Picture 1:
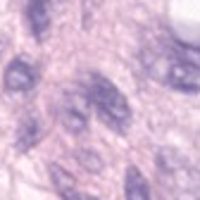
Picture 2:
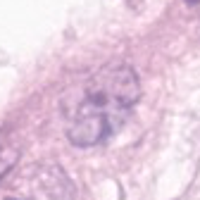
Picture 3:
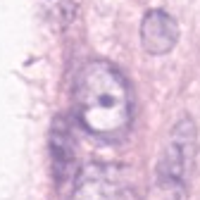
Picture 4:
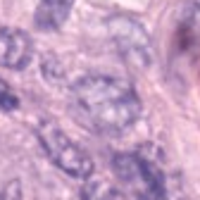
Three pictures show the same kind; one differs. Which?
Picture 1: a vascular myocyte, while the others are cytotrophoblasts.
